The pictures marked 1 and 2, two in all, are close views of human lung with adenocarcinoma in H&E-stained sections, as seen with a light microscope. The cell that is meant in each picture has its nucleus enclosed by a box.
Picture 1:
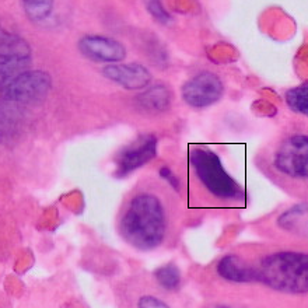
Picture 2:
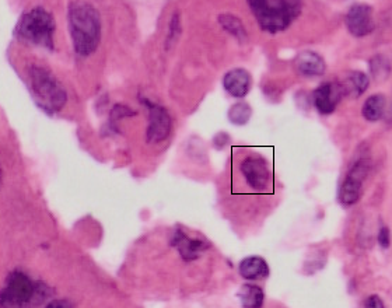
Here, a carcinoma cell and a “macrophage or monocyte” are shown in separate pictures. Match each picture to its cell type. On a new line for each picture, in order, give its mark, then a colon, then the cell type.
1: carcinoma cell
2: macrophage or monocyte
